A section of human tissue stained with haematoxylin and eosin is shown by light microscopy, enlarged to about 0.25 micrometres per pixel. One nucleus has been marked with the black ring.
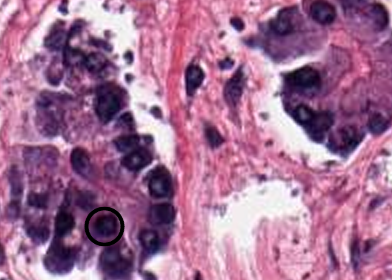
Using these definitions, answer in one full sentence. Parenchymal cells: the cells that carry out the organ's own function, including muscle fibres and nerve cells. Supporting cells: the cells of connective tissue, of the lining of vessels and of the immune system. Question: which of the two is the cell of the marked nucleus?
It is the nucleus of a pancreatic acinar cell, a parenchymal cell, that is marked.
